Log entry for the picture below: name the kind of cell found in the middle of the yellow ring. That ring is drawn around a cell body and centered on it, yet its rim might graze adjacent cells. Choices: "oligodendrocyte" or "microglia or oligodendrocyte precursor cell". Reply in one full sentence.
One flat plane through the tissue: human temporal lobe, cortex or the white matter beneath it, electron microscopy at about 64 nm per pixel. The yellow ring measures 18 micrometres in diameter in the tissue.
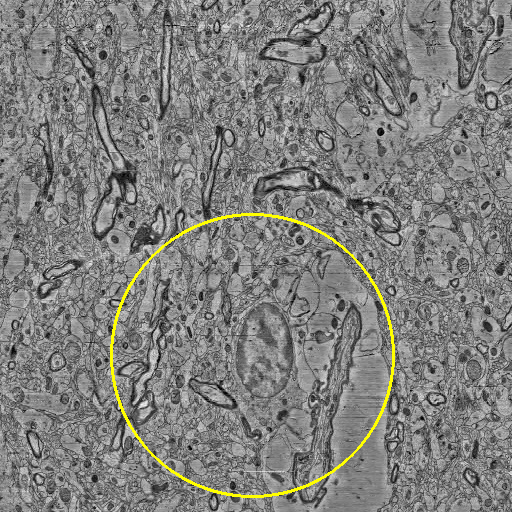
The cell in the middle of the yellow ring in this picture is an oligodendrocyte.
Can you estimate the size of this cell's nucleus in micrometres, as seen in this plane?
The ringed cell's nucleus is roughly 6 by 3 micrometres and clearly longer than it is wide in this plane.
